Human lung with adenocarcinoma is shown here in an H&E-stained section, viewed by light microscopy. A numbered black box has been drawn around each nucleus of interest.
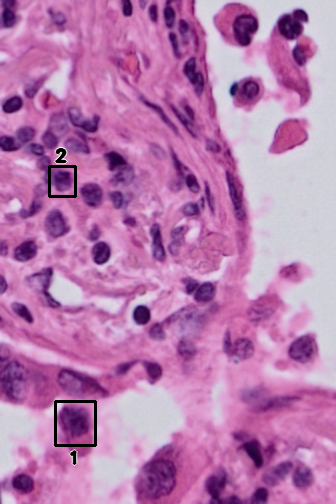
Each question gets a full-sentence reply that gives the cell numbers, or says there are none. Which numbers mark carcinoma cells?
The nucleus numbered 1 is the only one that belongs to a carcinoma cell.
